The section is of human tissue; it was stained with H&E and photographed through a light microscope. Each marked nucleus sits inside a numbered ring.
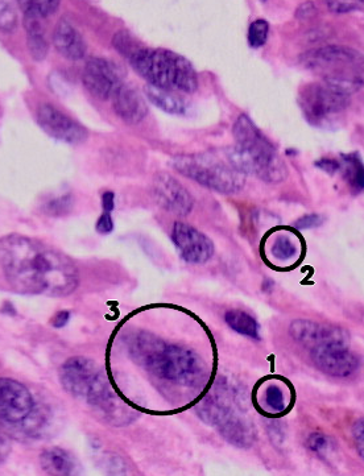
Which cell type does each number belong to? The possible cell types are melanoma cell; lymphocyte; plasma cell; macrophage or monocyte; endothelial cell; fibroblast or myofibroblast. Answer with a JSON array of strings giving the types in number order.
["lymphocyte", "lymphocyte", "melanoma cell"]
